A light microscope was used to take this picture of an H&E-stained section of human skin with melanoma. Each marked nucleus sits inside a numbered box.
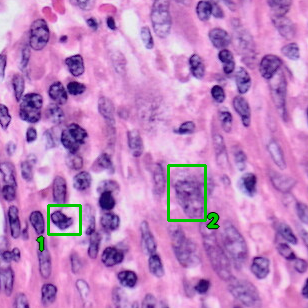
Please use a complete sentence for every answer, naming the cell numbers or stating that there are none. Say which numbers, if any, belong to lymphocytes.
None but cell 1 among the numbered cells is a lymphocyte.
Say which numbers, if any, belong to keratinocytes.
In short, keratinocytes do not occur among the numbered cells.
